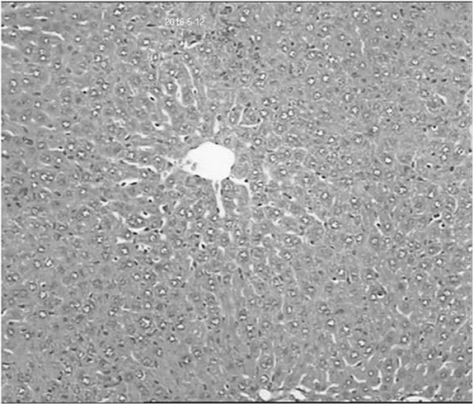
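The field is packed with polygonal liver cells, each with a round, centrally placed nucleus, arranged in continuous plates. The plates radiate from a central round vessel lumen, with narrow clear sinusoidal channels between them.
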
